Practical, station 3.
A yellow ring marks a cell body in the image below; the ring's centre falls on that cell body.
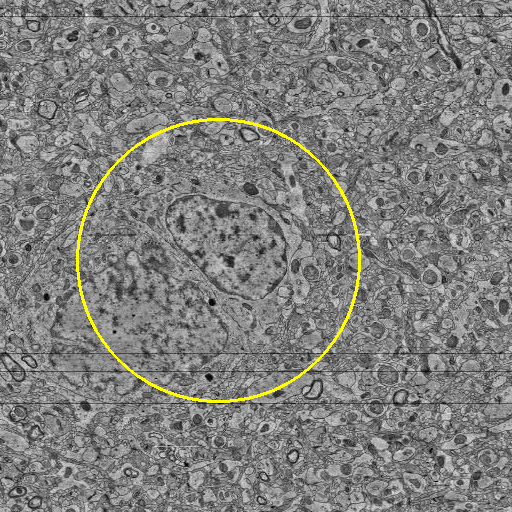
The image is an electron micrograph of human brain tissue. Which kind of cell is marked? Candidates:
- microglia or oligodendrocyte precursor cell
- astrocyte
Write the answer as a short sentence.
The marked cell body is that of a microglial cell or oligodendrocyte precursor cell.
